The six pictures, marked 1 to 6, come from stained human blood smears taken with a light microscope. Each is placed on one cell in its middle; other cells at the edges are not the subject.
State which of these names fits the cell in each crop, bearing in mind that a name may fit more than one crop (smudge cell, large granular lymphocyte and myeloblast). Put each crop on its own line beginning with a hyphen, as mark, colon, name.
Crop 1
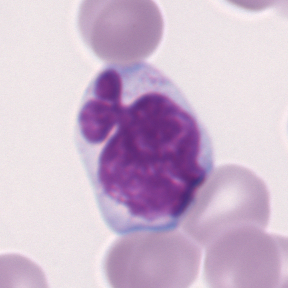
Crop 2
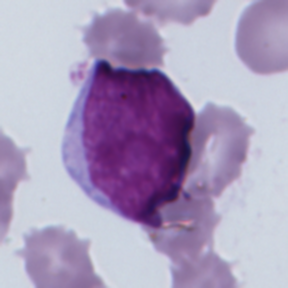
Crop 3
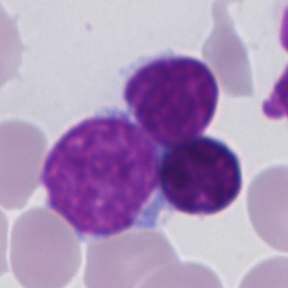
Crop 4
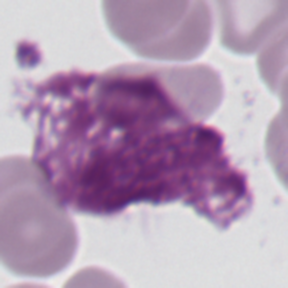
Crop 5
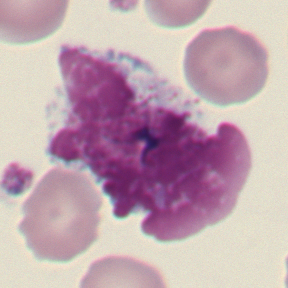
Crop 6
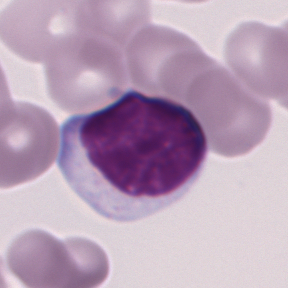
- 1: large granular lymphocyte
- 2: myeloblast
- 3: myeloblast
- 4: smudge cell
- 5: smudge cell
- 6: large granular lymphocyte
